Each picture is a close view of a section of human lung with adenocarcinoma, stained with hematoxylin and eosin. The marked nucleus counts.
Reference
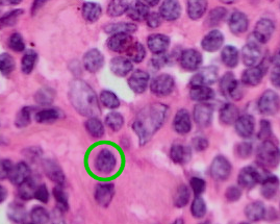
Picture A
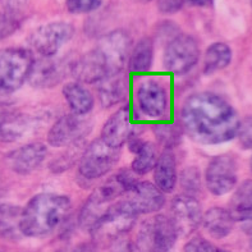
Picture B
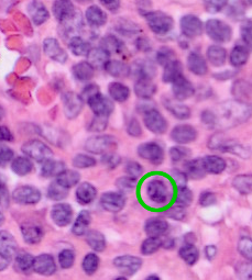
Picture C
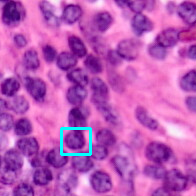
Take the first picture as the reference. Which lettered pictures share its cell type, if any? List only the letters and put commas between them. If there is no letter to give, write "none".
B, C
